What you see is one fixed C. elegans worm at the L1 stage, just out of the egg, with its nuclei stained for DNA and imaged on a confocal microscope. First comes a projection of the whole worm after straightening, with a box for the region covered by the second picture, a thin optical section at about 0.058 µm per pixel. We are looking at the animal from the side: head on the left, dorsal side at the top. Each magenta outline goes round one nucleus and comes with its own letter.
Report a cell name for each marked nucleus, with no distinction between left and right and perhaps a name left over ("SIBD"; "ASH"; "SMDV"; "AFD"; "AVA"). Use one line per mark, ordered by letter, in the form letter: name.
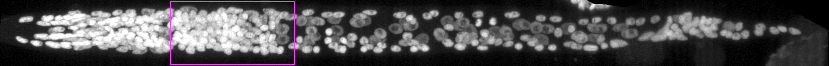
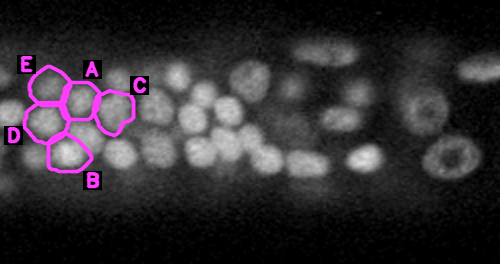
A: AFD
B: SIBD
C: ASH
D: AVA
E: SMDV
